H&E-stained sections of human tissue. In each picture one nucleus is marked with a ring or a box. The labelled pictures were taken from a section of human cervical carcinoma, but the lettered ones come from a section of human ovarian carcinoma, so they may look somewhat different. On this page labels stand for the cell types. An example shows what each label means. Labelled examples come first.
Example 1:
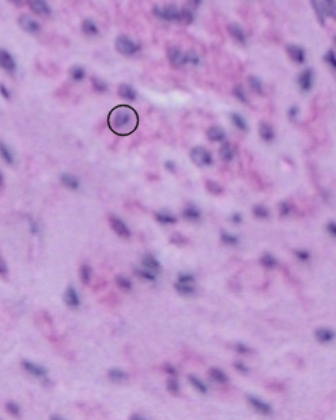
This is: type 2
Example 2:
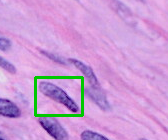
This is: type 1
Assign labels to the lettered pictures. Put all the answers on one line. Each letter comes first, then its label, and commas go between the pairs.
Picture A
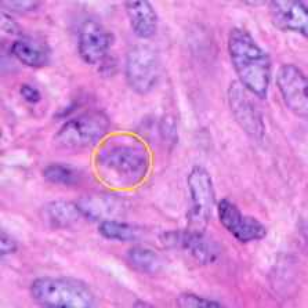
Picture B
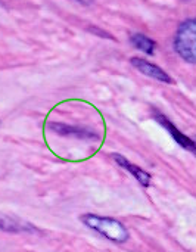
A type 1, B type 1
